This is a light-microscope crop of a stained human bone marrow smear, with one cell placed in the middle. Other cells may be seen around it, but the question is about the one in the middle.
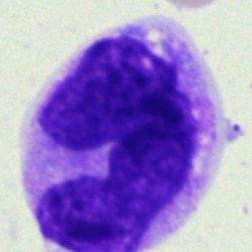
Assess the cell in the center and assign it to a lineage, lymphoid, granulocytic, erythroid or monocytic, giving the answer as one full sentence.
In terms of lineage, the cell at the center is monocytic.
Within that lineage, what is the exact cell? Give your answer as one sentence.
The cell centered in this field of view is a monocyte.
